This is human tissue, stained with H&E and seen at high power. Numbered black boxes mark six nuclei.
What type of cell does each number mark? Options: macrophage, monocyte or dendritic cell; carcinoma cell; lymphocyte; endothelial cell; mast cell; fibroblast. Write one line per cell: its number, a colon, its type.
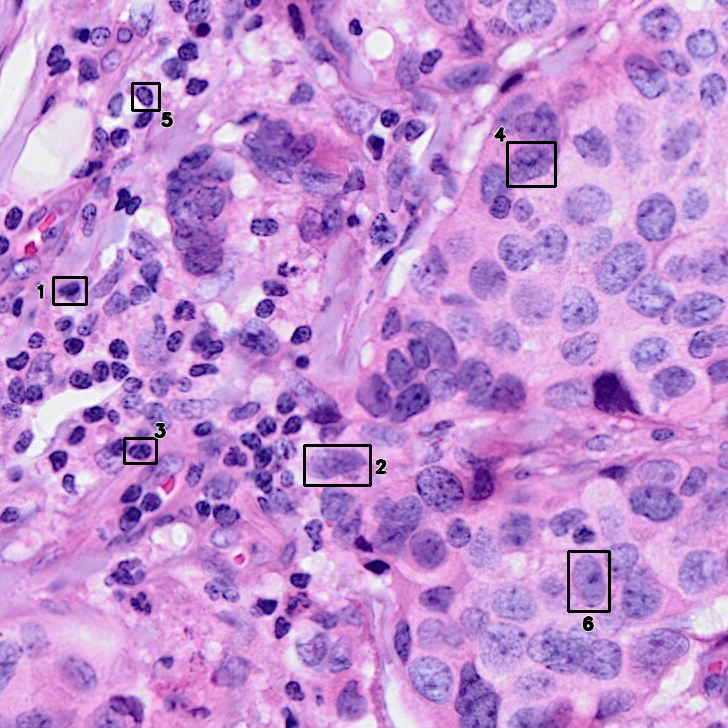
1: lymphocyte
2: carcinoma cell
3: lymphocyte
4: carcinoma cell
5: lymphocyte
6: carcinoma cell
